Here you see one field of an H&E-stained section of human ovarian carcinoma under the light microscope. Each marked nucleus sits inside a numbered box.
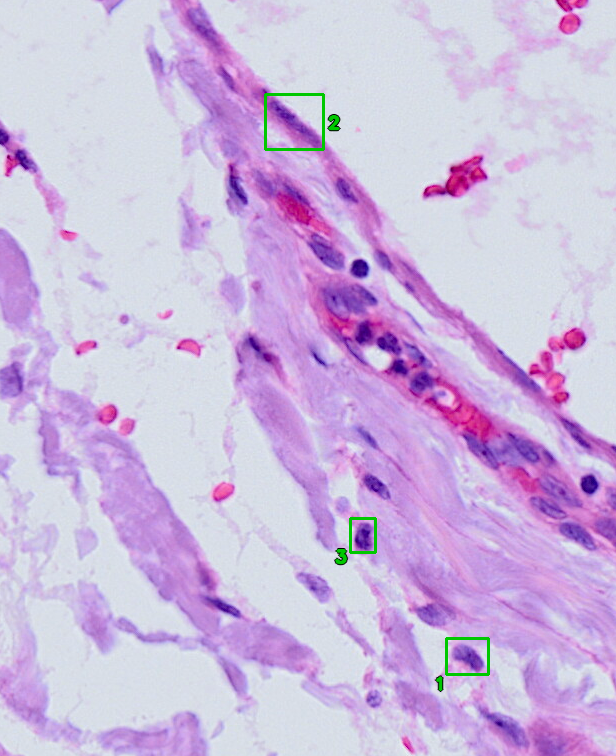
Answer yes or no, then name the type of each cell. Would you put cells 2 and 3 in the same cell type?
No, cell 2 is an endothelial cell and cell 3 is a macrophage or monocyte.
